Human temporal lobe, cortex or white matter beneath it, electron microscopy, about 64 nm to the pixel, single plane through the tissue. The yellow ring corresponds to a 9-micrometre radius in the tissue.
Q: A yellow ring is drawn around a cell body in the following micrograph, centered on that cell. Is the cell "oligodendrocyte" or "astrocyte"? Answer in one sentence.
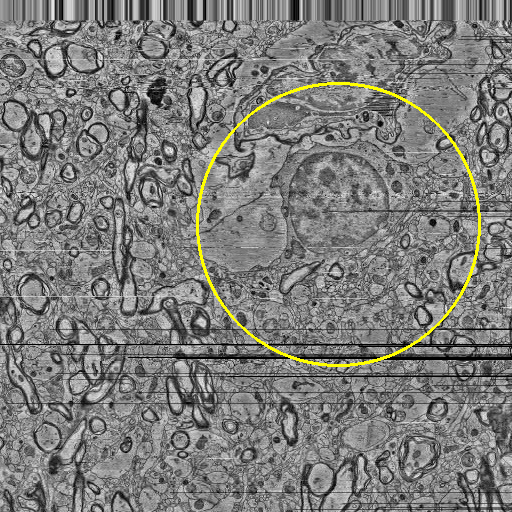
The cell in the center of the ring is an oligodendrocyte.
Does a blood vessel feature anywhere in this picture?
Yes, one shows.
